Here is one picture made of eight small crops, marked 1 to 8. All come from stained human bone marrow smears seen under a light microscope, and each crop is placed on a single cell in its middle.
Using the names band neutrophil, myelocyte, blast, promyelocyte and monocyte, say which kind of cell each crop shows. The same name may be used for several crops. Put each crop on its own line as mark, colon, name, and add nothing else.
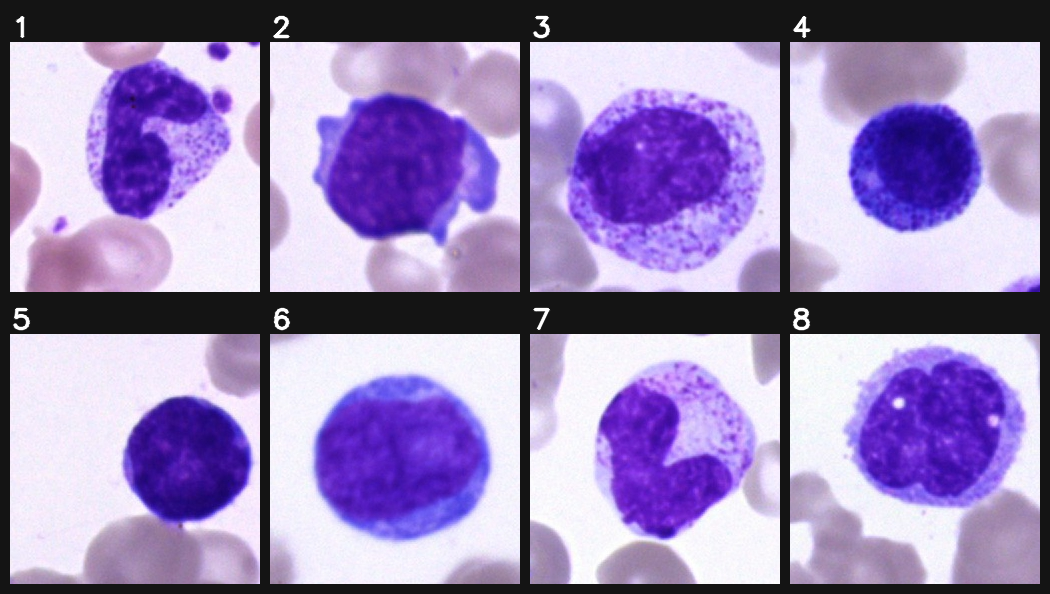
1: band neutrophil
2: blast
3: myelocyte
4: promyelocyte
5: blast
6: blast
7: band neutrophil
8: monocyte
